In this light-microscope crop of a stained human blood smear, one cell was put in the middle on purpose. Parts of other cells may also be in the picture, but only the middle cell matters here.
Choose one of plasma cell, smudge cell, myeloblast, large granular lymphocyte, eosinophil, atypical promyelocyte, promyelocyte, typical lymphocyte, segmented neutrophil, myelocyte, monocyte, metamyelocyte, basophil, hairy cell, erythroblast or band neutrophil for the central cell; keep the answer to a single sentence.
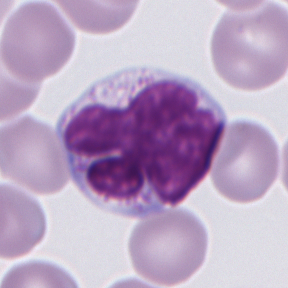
The central element of this crop is a cell, namely a large granular lymphocyte.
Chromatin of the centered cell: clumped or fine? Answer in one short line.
In this cell the chromatin is fine rather than coarsely clumped.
